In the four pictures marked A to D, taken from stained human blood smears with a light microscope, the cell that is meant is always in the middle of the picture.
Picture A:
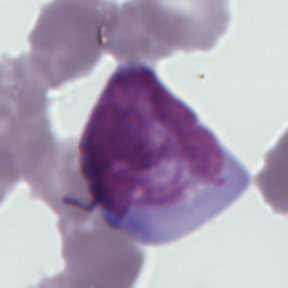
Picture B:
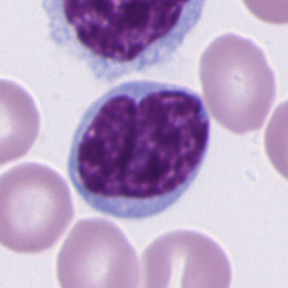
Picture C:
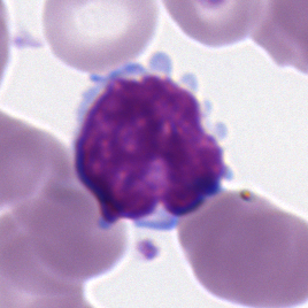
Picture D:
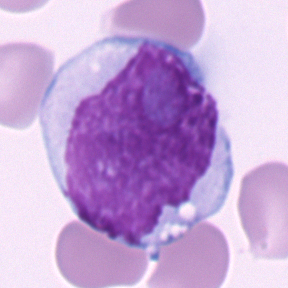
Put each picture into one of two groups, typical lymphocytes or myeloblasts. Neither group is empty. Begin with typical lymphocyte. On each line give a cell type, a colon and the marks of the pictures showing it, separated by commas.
typical lymphocyte: B, C
myeloblast: A, D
